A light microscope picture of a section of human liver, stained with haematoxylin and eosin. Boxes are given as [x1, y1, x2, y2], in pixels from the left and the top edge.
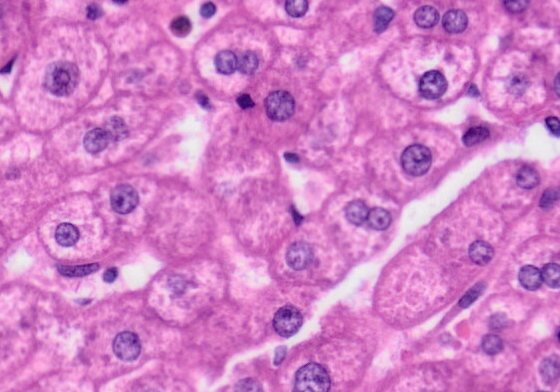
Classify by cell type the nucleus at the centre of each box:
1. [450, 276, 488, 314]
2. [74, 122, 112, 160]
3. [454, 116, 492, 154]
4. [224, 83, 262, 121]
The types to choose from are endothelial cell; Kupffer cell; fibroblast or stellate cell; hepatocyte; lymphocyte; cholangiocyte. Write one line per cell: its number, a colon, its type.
1: Kupffer cell
2: hepatocyte
3: Kupffer cell
4: fibroblast or stellate cell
